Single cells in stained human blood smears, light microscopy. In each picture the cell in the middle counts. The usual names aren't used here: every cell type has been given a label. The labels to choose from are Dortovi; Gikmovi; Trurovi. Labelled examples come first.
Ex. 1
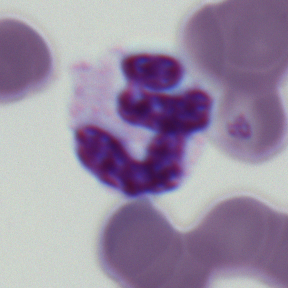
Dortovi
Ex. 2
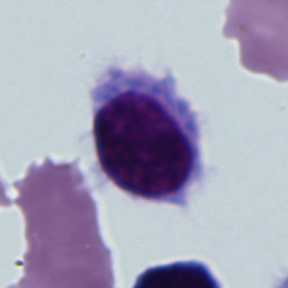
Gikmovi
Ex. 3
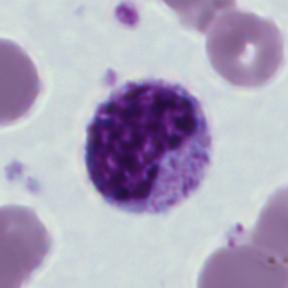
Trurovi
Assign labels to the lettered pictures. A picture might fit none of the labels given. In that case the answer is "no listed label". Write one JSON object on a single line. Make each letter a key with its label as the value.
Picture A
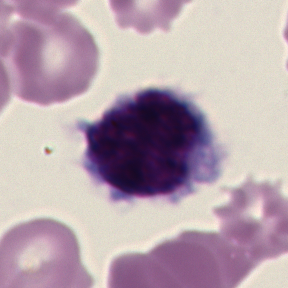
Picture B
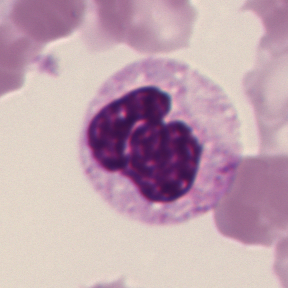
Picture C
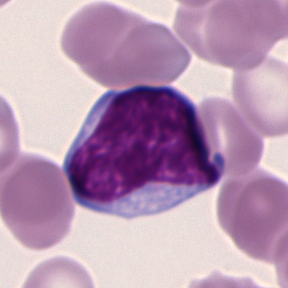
{"A": "Gikmovi", "B": "Dortovi", "C": "no listed label"}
